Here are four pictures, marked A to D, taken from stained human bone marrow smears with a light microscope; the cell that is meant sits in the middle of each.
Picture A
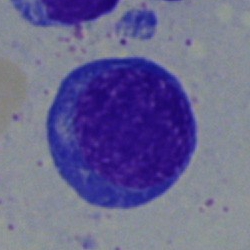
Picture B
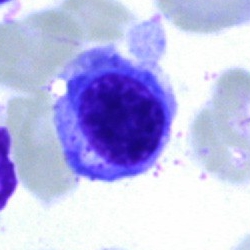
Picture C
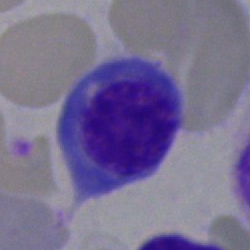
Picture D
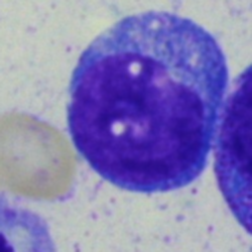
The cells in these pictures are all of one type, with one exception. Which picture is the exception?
D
